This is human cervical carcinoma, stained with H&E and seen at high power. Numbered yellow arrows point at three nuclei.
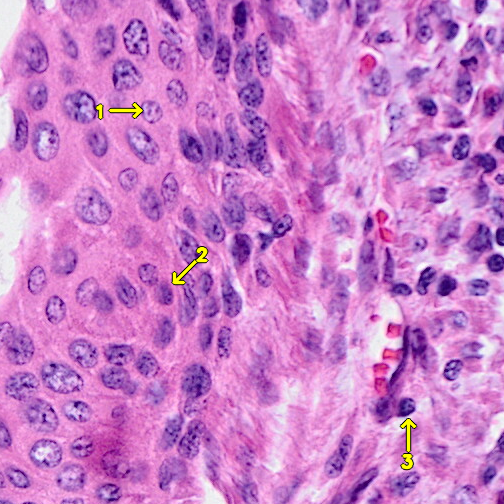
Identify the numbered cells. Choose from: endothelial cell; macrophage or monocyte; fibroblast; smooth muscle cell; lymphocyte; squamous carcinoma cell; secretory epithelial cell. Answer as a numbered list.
1. squamous carcinoma cell
2. squamous carcinoma cell
3. lymphocyte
